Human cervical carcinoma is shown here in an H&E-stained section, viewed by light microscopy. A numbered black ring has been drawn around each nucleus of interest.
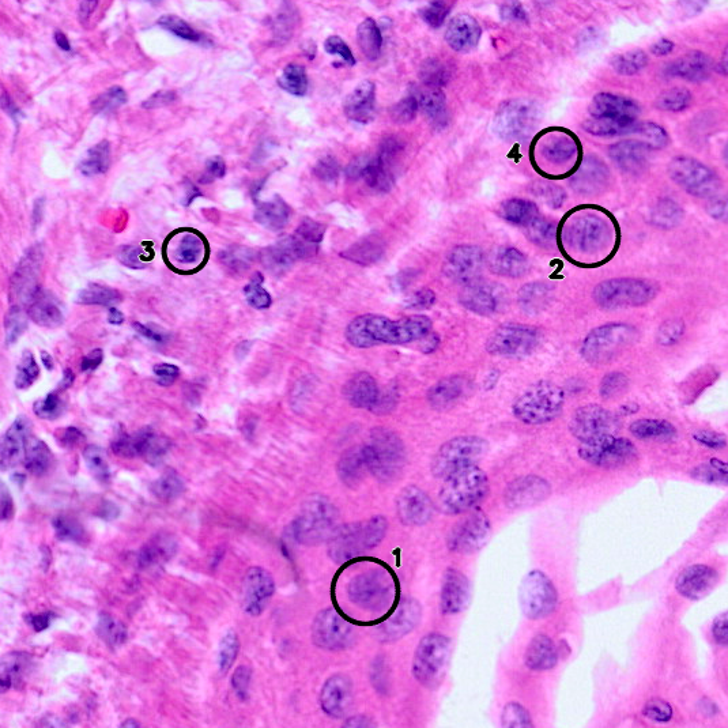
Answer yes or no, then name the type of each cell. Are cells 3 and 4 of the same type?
No, cell 3 is a lymphocyte and cell 4 is a squamous carcinoma cell.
